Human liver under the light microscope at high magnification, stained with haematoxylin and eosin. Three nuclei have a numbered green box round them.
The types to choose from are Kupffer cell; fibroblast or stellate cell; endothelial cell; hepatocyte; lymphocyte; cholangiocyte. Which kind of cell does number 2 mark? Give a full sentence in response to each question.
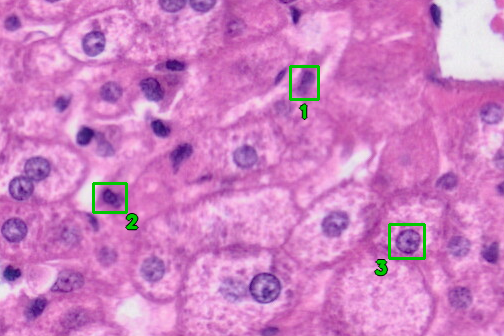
The one labeled 2 is a Kupffer cell, to put it simply.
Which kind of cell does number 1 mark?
The cell numbered 1 has been identified as a Kupffer cell.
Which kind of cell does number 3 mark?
The correct answer for cell 3 is a hepatocyte.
